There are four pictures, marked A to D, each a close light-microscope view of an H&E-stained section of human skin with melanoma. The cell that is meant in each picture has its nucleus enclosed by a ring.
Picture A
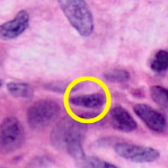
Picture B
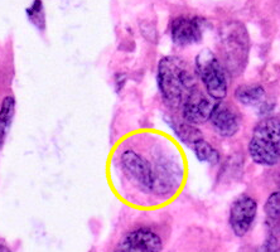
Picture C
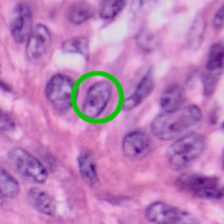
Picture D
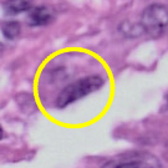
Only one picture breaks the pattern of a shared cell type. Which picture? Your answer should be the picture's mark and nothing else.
A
